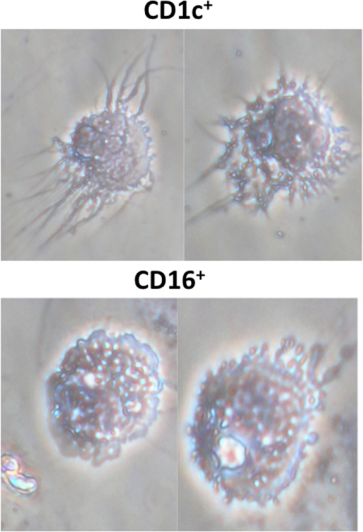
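Two pairs of single cells appear under phase contrast. The cells in the upper row have a compact body from which many long, thin, branching processes radiate outward. The cells in the lower row are larger, rounded and granular, with only a short ruffled edge and no long processes.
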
